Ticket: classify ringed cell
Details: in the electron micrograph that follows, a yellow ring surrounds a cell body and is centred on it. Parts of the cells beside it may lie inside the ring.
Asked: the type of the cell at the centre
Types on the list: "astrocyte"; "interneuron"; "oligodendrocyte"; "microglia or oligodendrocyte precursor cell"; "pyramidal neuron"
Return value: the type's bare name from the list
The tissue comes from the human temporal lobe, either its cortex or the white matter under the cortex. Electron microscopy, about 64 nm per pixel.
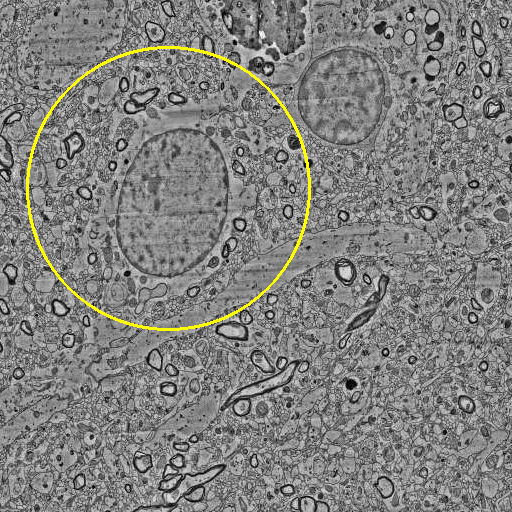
astrocyte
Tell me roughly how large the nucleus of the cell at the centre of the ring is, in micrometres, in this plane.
Roughly 10 micrometres by 7 micrometres, in this plane.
